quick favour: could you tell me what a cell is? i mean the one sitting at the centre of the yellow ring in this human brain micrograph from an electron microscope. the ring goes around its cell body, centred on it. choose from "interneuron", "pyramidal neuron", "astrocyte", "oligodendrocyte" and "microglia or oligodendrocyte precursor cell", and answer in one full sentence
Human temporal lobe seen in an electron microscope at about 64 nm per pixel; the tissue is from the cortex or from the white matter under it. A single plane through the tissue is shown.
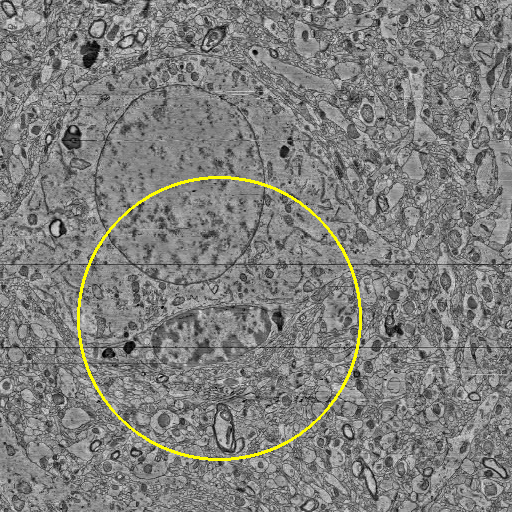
That's a microglial cell or oligodendrocyte precursor cell, the cell sitting at the centre of the yellow ring.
